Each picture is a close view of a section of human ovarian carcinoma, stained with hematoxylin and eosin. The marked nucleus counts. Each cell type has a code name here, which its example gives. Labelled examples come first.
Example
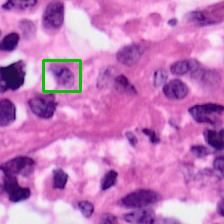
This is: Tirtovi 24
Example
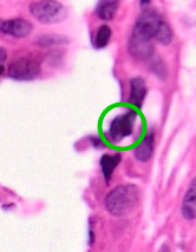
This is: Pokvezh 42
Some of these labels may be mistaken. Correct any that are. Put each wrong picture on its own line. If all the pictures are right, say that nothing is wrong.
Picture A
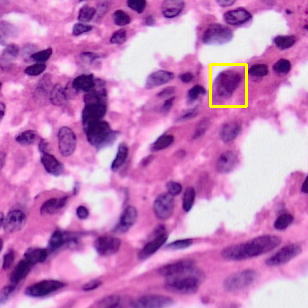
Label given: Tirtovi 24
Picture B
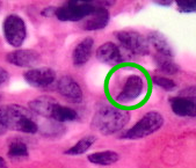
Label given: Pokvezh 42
A should be Pokvezh 42, not Tirtovi 24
